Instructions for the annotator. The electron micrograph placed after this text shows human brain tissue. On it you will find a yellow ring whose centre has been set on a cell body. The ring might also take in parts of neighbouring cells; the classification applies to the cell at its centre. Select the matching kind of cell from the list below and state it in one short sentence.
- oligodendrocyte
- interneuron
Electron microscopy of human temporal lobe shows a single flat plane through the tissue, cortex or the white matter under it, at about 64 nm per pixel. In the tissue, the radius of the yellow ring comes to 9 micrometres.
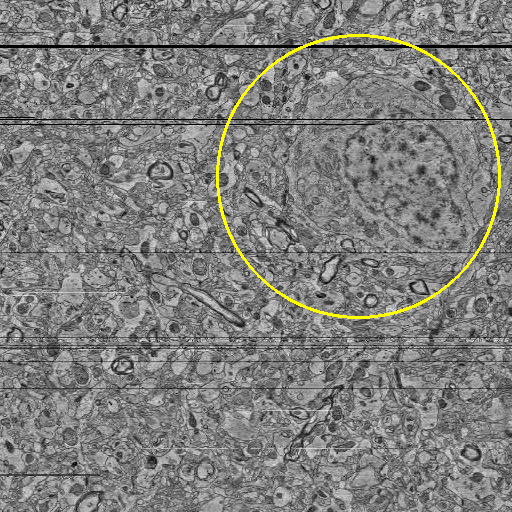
The ring is drawn on the cell body of an interneuron.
